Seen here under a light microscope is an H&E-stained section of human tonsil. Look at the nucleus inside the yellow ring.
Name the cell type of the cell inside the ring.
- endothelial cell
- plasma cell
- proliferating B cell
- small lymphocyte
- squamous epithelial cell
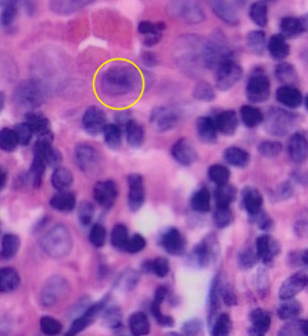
endothelial cell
